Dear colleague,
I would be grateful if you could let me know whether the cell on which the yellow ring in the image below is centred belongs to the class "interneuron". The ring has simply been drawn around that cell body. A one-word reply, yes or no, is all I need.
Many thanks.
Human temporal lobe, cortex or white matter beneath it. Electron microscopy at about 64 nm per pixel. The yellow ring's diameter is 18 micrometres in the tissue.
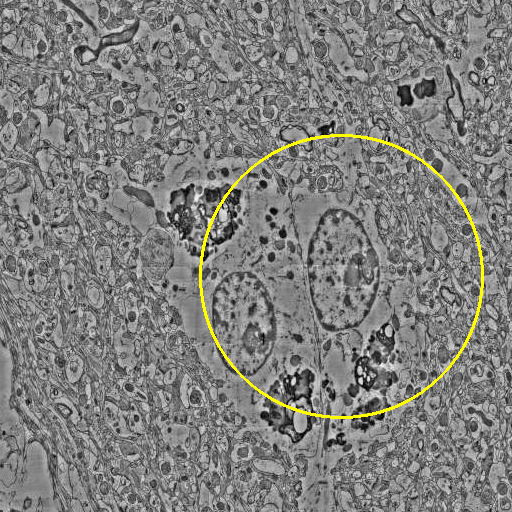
no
